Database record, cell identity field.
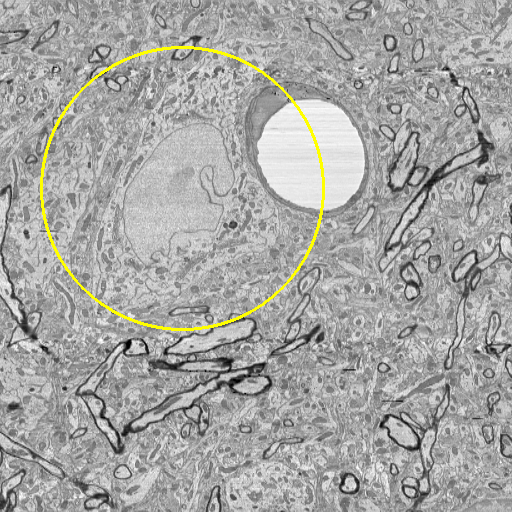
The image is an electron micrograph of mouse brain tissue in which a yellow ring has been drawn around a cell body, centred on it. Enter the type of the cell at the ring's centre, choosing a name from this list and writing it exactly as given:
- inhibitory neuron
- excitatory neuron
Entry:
inhibitory neuron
